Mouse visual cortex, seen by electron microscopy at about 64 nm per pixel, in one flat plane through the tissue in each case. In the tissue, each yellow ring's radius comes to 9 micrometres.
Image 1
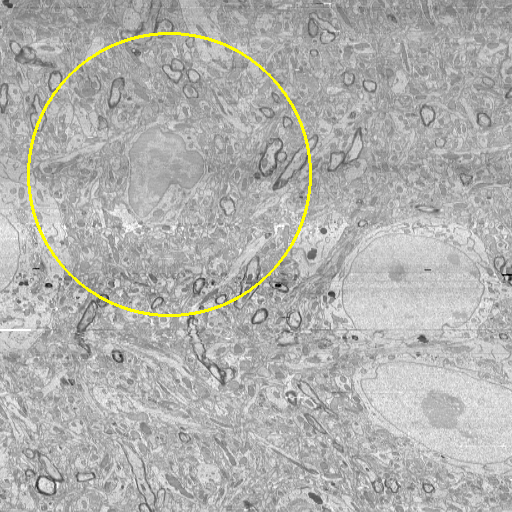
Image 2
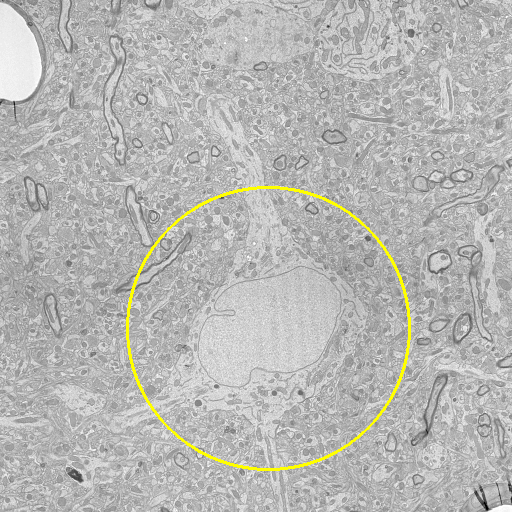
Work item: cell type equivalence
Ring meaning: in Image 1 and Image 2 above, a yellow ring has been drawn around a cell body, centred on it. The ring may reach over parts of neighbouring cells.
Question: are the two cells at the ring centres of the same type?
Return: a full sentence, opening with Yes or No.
No, the two centred cells are of two types.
